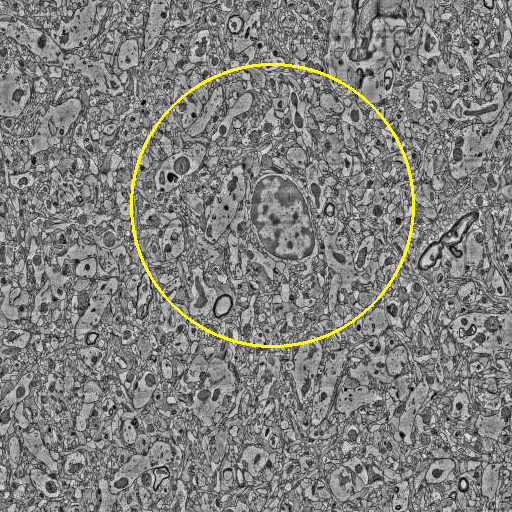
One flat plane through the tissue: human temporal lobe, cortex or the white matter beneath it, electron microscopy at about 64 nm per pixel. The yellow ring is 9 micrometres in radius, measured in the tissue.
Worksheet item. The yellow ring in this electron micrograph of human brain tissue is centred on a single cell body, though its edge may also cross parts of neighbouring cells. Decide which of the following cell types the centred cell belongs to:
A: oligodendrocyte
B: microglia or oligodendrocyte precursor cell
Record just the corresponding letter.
B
